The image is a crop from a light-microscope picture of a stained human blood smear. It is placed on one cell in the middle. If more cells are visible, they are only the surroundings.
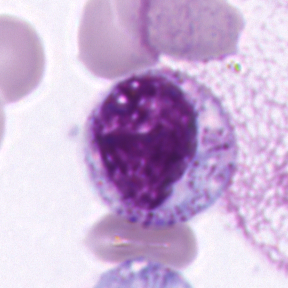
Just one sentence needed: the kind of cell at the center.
The cell featured at the centre of this crop is a metamyelocyte.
